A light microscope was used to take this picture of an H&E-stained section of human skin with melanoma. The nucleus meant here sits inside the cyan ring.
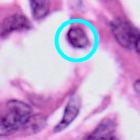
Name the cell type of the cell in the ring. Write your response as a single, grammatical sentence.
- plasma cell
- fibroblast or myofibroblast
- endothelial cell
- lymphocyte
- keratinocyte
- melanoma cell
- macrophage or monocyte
Recorded by type, the cell in the ring is a melanoma cell.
